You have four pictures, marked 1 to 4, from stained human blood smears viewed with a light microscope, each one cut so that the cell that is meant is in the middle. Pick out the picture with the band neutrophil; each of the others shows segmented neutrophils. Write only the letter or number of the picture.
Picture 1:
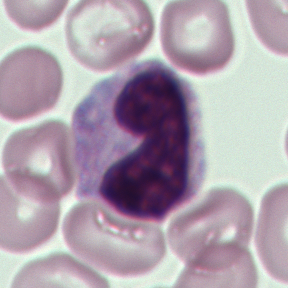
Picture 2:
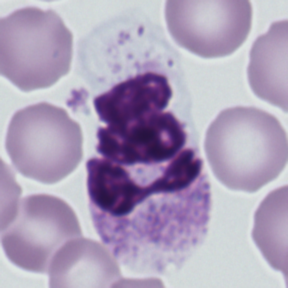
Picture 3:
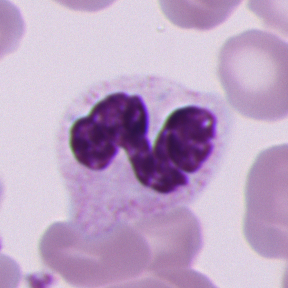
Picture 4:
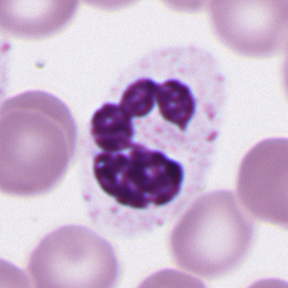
1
